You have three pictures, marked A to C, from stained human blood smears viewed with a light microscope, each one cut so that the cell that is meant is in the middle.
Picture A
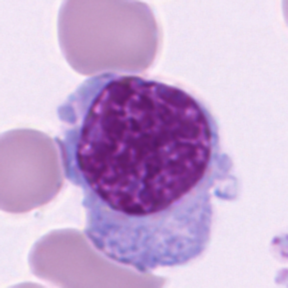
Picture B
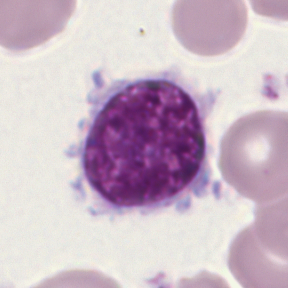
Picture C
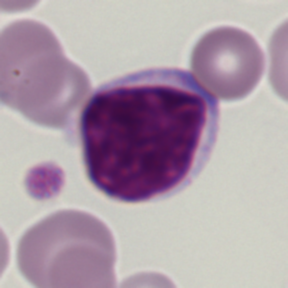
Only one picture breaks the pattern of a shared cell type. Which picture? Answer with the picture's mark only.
C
